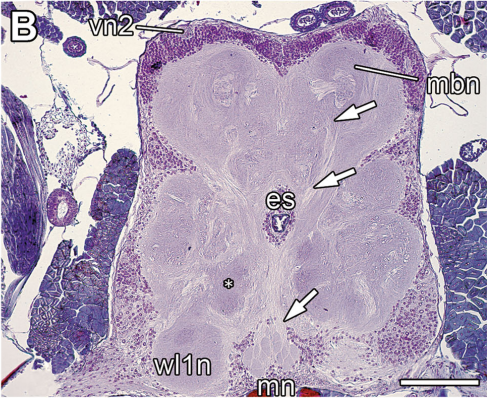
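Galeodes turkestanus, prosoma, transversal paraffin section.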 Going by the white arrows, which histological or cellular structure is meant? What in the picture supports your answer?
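The arrows lie along a band of parallel fibres running dorsoventrally through the neuropil. The fibre band passes beside the esophagus toward the dorsal neuropil. So: The projection neuron tract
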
